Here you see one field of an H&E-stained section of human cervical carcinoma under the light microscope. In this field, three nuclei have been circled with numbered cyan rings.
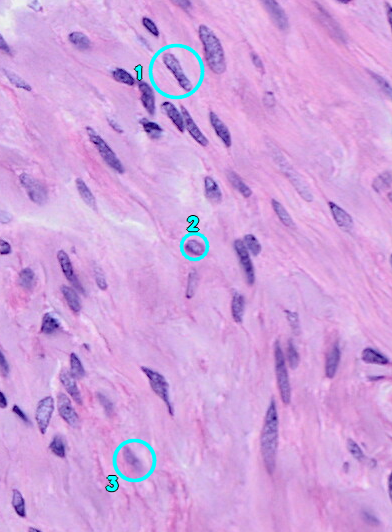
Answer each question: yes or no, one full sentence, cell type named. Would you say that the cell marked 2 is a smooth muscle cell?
Yes, the cell that is numbered 2 is a smooth muscle cell.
